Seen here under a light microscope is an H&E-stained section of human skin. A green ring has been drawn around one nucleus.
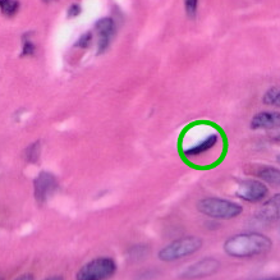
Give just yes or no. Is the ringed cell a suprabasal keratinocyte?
no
